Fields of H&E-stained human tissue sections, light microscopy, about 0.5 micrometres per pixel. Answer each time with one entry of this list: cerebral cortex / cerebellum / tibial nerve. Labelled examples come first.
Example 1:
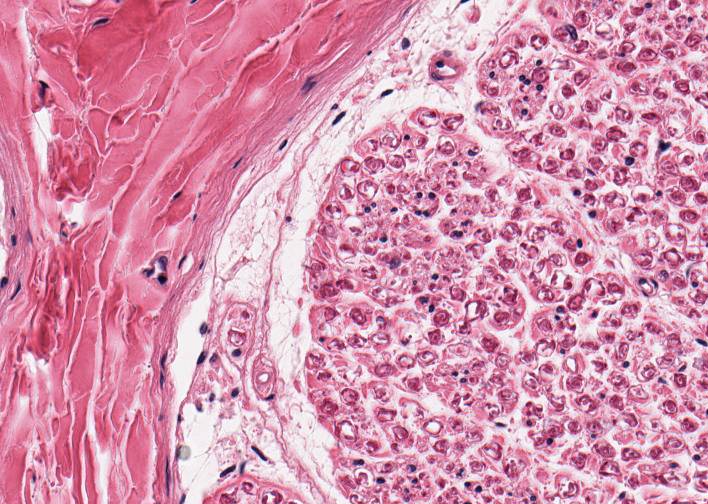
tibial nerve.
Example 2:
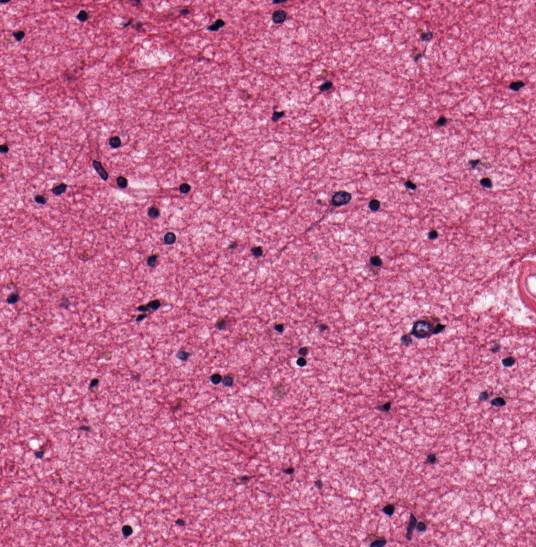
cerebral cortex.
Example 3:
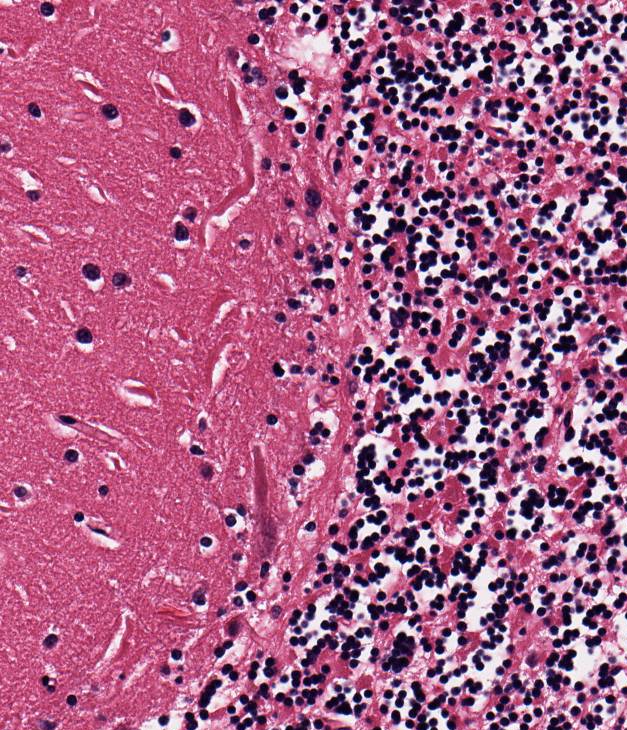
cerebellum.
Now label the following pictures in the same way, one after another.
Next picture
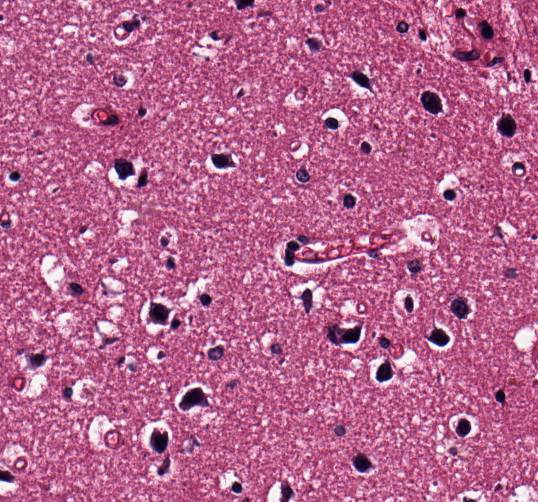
cerebral cortex.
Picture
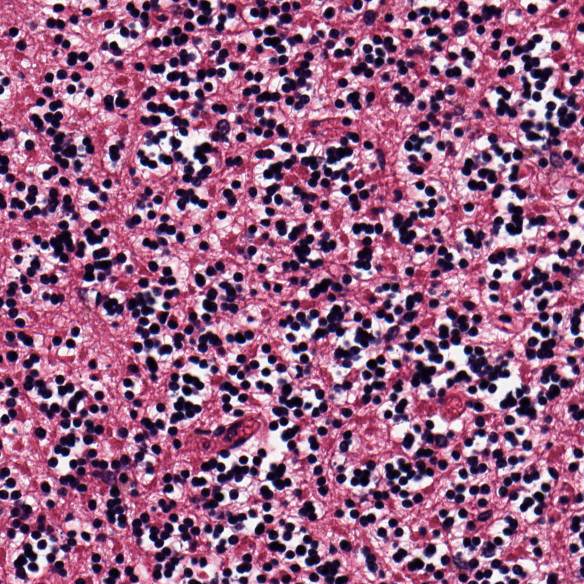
cerebellum.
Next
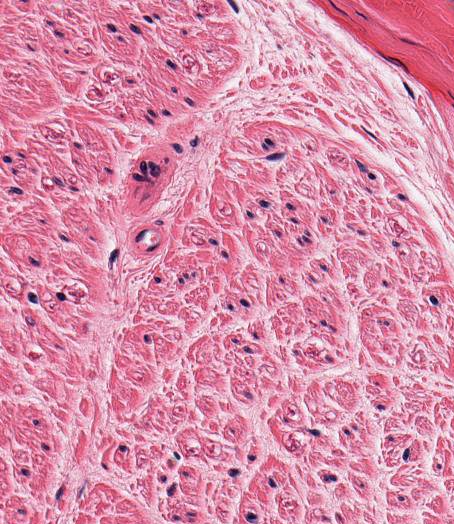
tibial nerve.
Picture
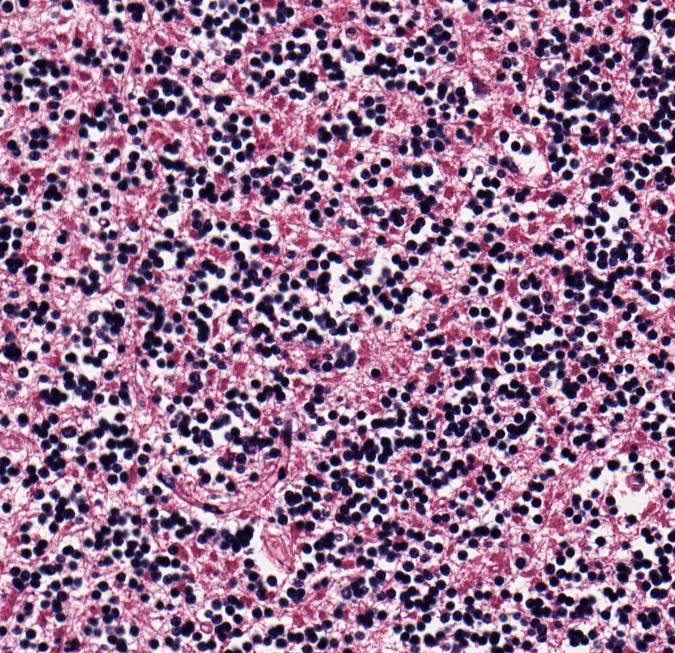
cerebellum.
